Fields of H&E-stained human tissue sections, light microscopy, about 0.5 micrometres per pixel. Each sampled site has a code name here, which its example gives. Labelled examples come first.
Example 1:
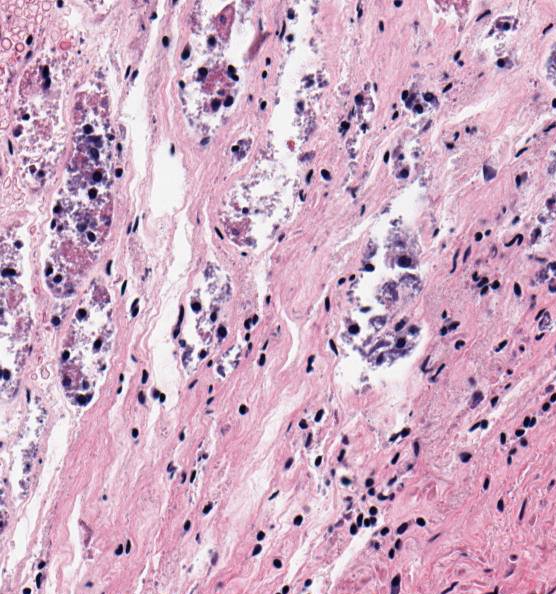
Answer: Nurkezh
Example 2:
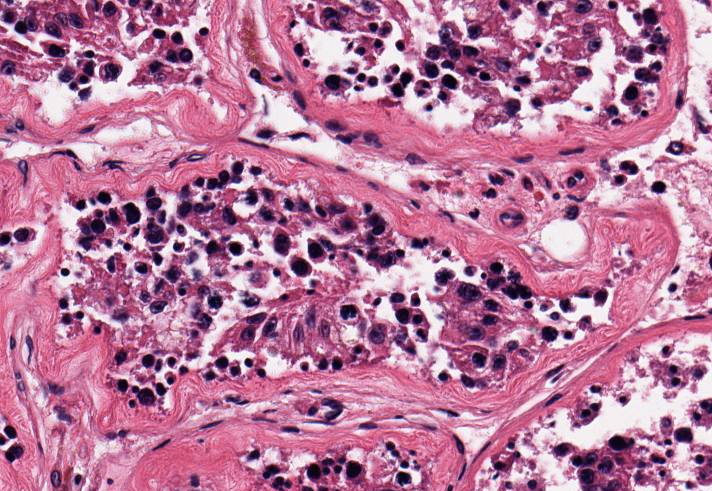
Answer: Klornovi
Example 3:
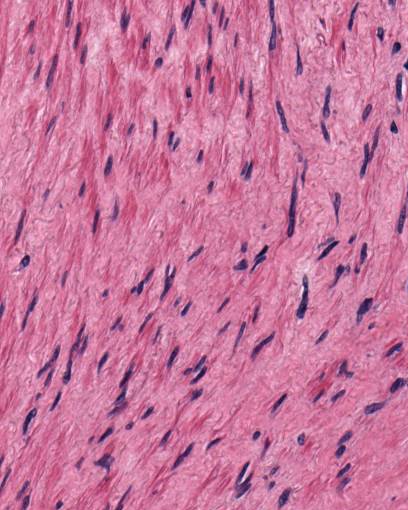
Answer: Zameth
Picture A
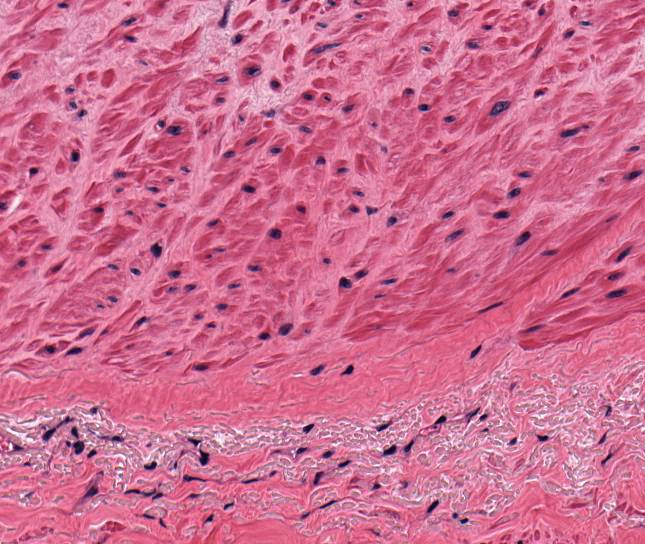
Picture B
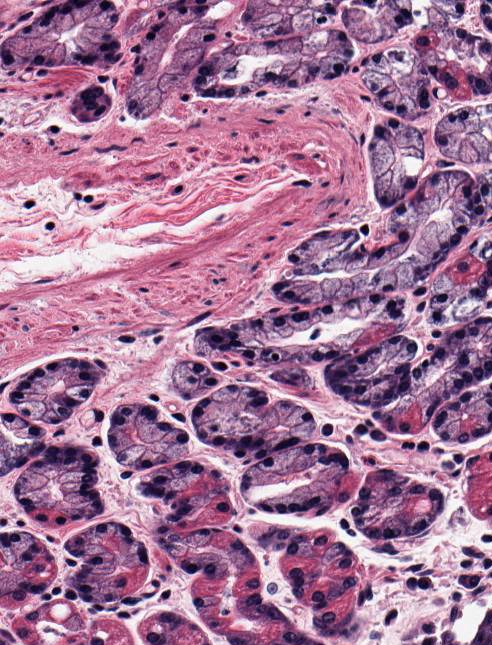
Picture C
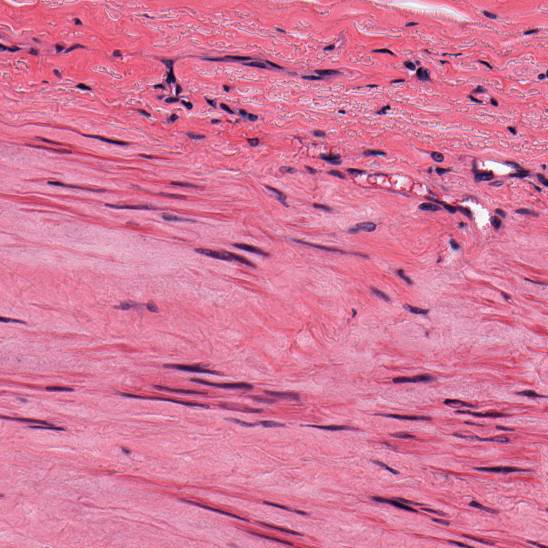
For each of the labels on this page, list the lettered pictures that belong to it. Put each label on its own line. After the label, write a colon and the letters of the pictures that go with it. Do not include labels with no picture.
Nurkezh: B
Zameth: A, C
